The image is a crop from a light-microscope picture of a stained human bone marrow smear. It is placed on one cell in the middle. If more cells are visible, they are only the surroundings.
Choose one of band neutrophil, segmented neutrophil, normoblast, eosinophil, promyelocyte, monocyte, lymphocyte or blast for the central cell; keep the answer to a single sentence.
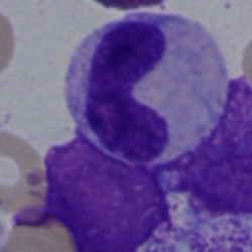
The cell centered in this field of view is a band neutrophil.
